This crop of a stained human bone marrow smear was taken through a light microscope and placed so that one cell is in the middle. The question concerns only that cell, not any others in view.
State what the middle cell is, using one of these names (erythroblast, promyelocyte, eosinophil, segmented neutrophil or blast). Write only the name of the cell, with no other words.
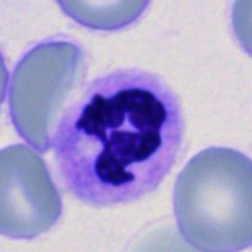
segmented neutrophil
